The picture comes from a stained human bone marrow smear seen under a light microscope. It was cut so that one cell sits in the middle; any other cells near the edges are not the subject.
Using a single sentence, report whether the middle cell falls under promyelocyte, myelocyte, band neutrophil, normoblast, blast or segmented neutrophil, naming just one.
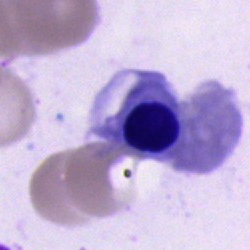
The cell sitting right in the middle is a normoblast.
